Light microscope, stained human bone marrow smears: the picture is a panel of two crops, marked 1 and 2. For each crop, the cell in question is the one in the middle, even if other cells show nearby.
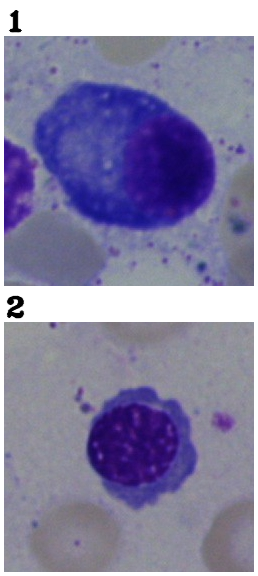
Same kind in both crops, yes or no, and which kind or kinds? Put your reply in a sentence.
No, a plasma cell is the subject of crop 1, and an erythroblast is the subject of crop 2.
